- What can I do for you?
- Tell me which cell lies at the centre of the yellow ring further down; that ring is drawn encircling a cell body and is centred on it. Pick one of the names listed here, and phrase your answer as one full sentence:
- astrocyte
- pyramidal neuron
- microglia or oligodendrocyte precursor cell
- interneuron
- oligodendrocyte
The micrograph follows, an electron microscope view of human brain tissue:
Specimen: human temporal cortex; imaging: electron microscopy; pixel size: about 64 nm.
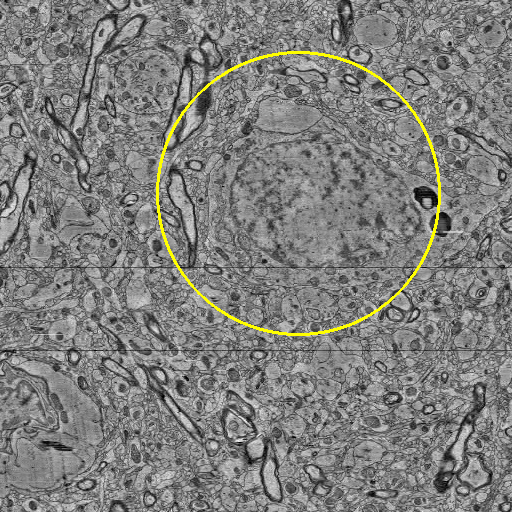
The cell whose body lies at the centre of the yellow ring is an interneuron.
